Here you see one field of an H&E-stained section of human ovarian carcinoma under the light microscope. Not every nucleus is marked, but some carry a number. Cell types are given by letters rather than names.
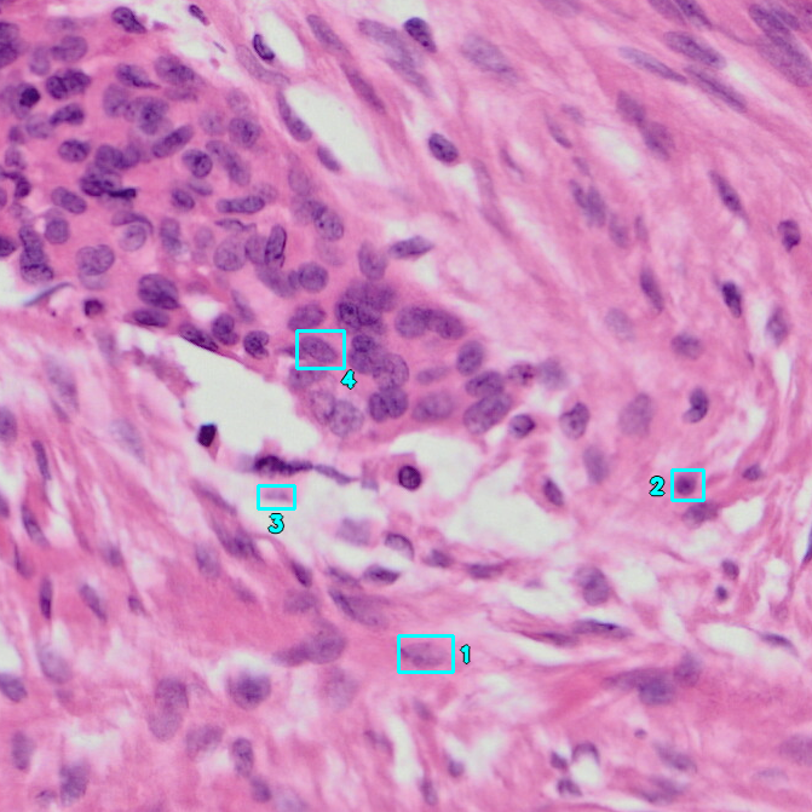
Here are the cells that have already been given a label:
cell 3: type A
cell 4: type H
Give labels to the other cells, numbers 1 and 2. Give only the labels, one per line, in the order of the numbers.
type A
type A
